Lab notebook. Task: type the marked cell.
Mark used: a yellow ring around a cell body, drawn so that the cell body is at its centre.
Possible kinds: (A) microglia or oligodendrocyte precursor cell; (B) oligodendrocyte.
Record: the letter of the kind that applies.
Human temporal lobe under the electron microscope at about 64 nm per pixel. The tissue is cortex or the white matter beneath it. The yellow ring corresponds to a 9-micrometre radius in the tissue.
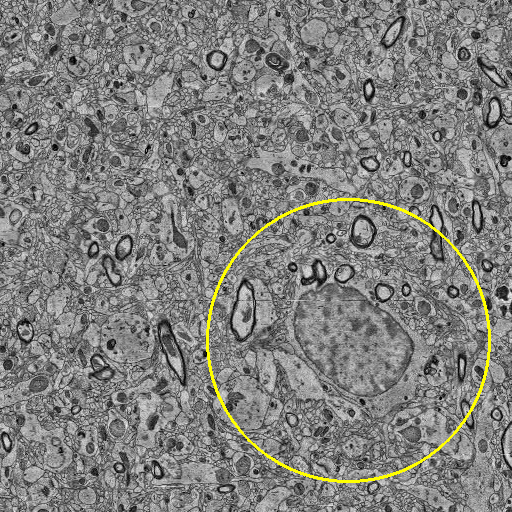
B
